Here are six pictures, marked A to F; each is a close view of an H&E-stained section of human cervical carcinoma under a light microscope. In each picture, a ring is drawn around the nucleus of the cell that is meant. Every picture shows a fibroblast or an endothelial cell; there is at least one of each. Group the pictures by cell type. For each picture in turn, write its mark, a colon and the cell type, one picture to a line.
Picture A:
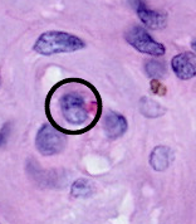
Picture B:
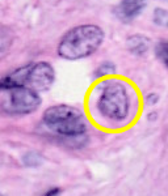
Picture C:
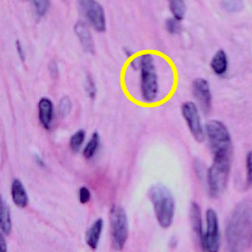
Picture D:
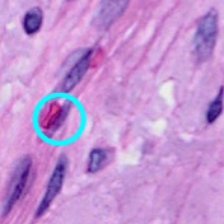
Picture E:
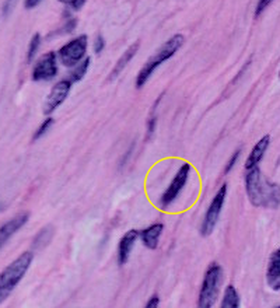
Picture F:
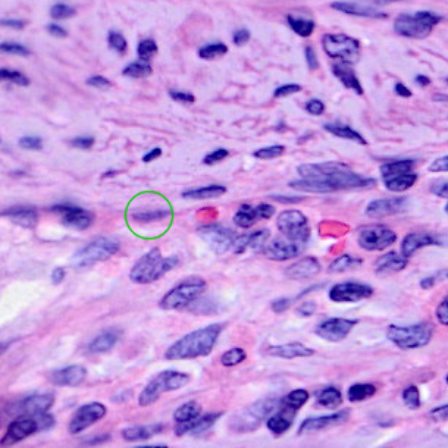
A: endothelial cell
B: endothelial cell
C: fibroblast
D: endothelial cell
E: fibroblast
F: endothelial cell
